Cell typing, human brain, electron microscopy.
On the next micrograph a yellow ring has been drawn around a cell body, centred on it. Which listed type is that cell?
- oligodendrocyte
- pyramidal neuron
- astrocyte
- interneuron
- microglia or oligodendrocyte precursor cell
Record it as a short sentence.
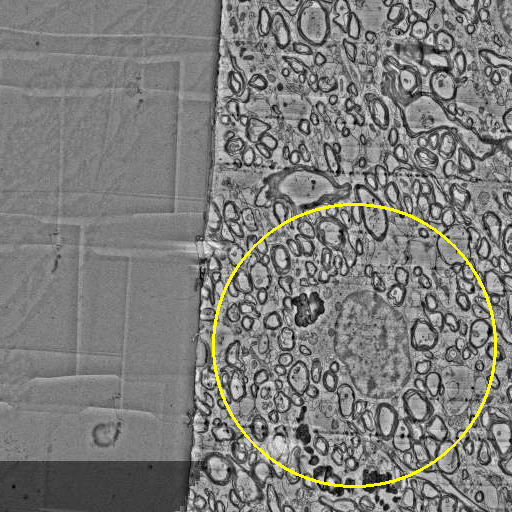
The cell body in the ring's centre belongs to an oligodendrocyte.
